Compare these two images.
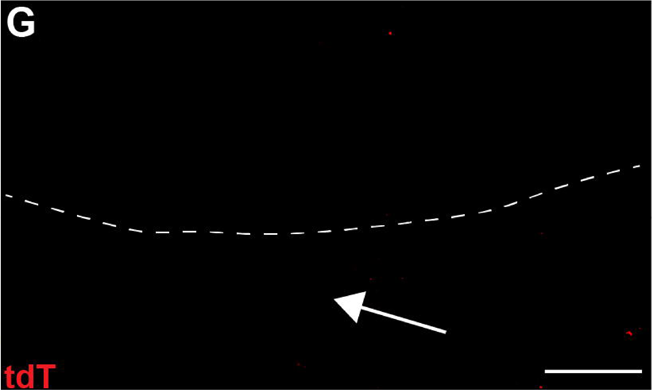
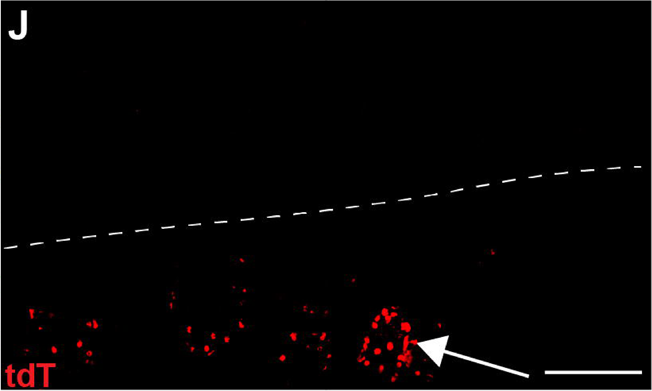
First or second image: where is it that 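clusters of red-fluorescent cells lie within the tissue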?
The second image.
